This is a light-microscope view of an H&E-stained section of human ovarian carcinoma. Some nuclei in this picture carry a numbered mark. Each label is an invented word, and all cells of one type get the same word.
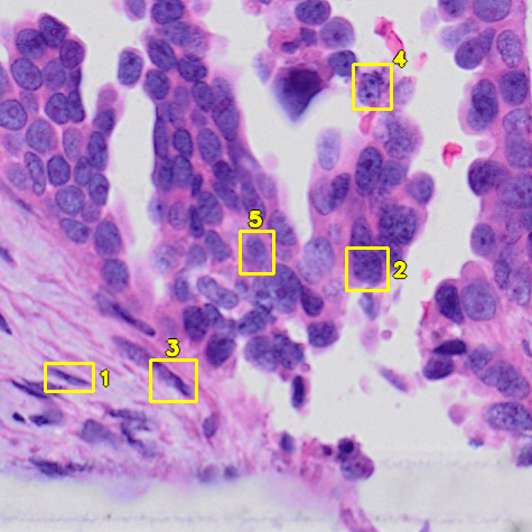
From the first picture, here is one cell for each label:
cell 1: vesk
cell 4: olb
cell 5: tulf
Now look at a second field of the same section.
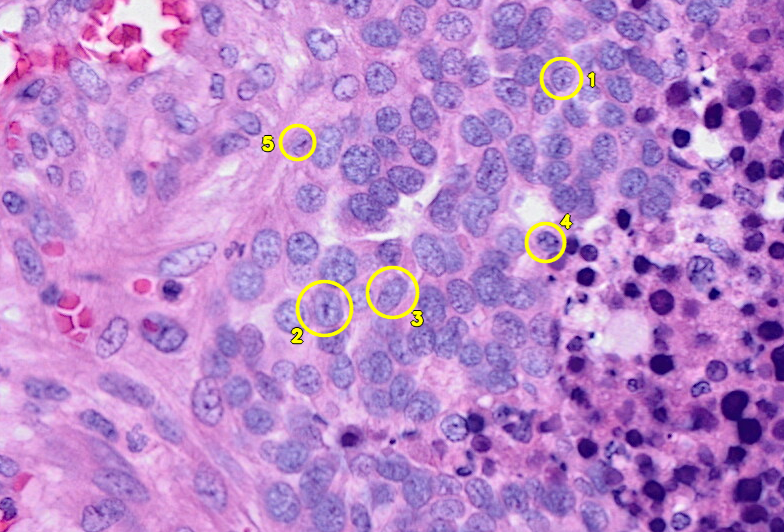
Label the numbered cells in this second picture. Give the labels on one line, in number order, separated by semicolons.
tulf; tulf; tulf; olb; vesk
